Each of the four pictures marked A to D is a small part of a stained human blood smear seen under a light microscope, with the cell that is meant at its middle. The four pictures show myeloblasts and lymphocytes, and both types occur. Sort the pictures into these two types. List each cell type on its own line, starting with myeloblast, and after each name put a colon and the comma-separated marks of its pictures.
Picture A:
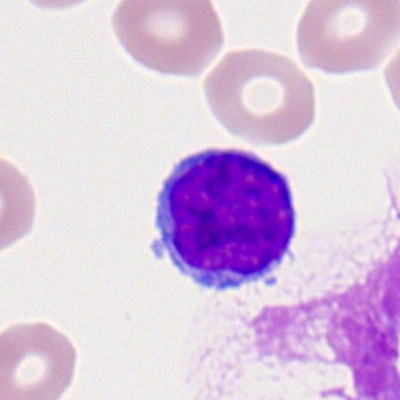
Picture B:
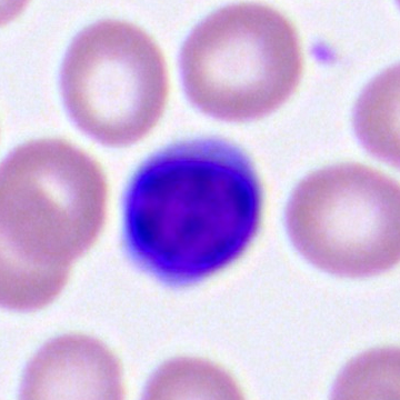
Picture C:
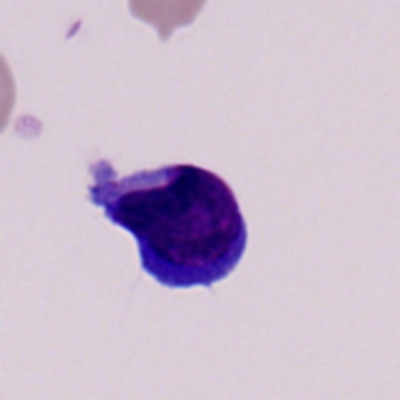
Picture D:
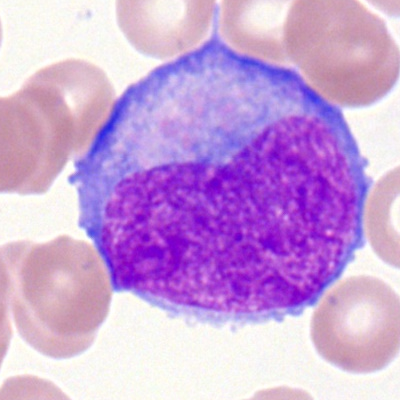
myeloblast: D
lymphocyte: A, B, C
